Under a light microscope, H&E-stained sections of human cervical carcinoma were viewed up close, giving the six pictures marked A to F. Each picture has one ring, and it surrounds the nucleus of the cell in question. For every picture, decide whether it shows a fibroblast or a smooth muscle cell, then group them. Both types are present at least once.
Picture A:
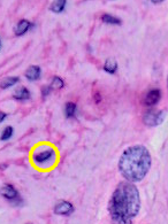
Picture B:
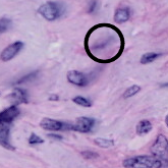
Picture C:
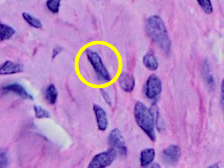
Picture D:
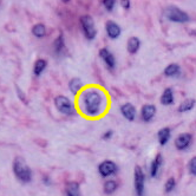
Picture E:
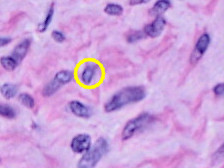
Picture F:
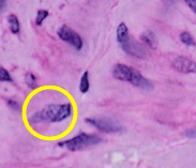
A: smooth muscle cell
B: smooth muscle cell
C: fibroblast
D: smooth muscle cell
E: smooth muscle cell
F: fibroblast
